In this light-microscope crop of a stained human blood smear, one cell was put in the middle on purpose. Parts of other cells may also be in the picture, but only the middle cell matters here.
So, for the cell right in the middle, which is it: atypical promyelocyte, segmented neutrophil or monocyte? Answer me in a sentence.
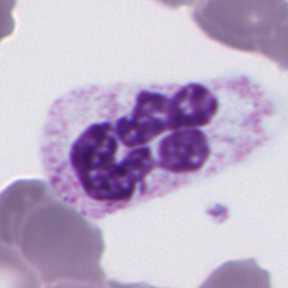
To answer, the cell in the center of the crop is a segmented neutrophil.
